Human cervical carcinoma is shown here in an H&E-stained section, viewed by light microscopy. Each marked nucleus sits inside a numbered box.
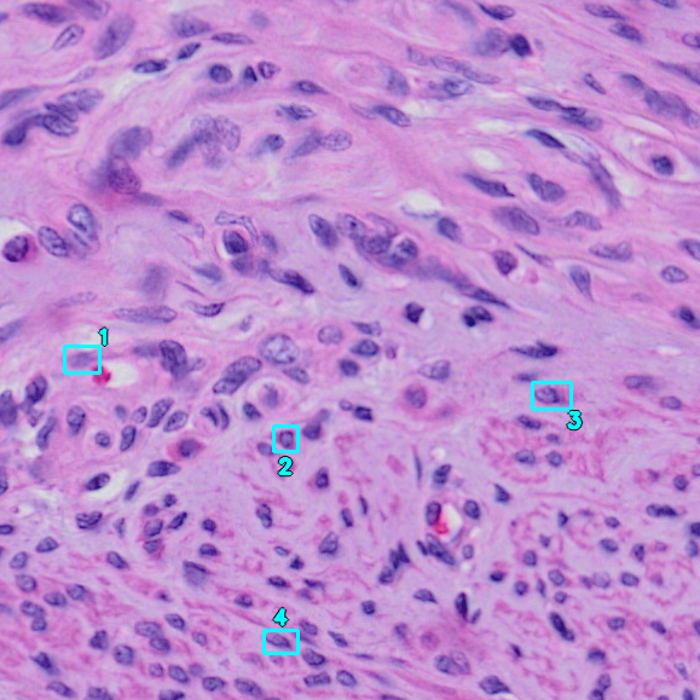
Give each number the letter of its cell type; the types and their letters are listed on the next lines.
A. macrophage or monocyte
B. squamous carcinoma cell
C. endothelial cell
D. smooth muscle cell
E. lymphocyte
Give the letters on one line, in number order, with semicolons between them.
C; D; D; D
